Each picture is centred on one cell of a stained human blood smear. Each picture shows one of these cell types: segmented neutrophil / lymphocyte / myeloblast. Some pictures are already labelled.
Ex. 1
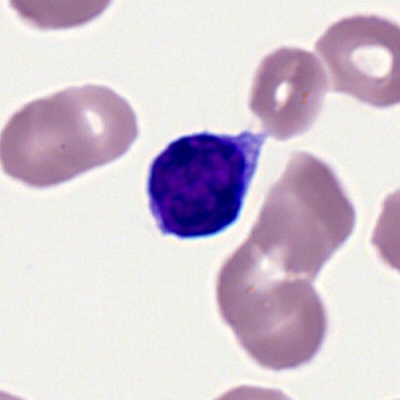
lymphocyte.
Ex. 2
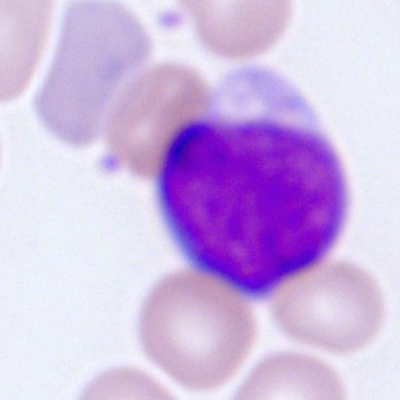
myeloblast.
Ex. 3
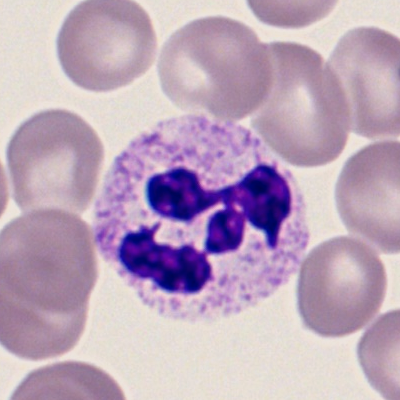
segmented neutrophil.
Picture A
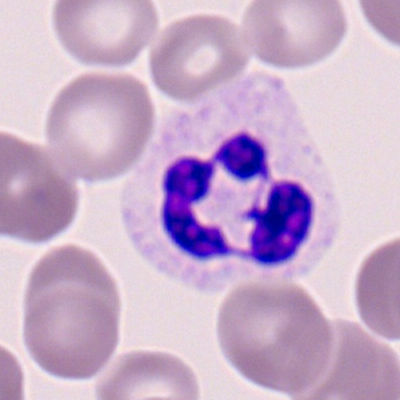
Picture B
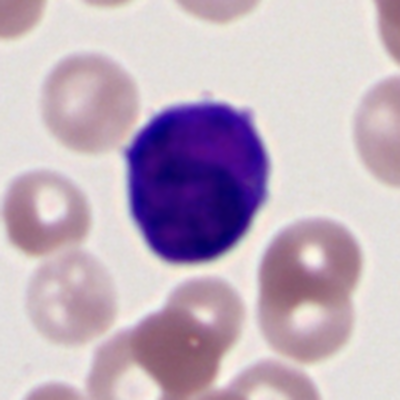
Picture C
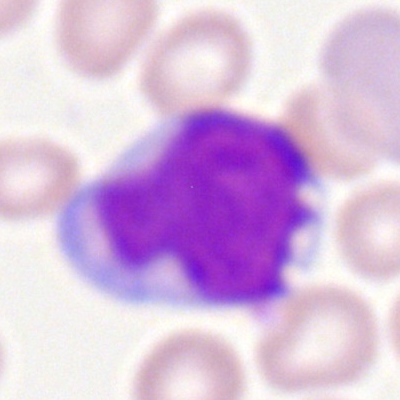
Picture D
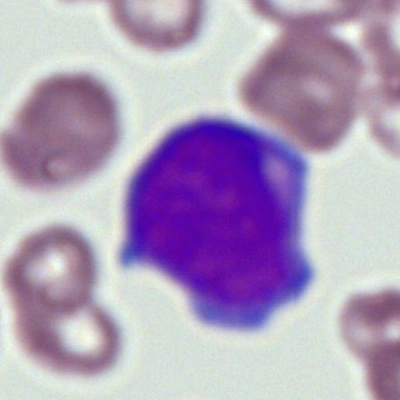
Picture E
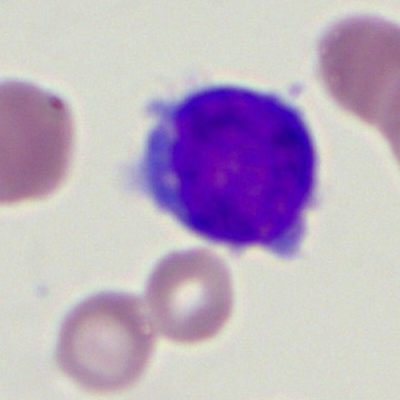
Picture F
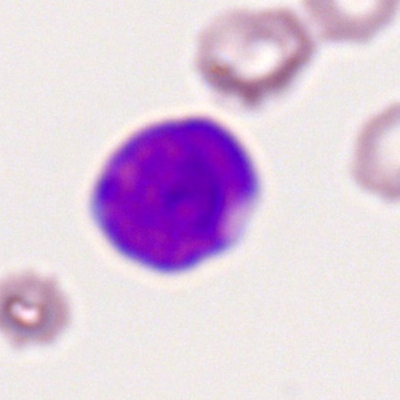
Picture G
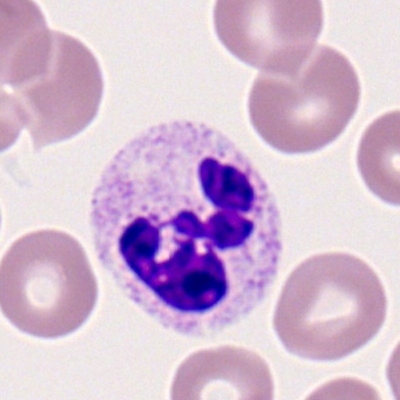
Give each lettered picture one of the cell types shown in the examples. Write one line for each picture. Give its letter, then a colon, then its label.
A: segmented neutrophil.
B: myeloblast.
C: myeloblast.
D: myeloblast.
E: myeloblast.
F: myeloblast.
G: segmented neutrophil.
